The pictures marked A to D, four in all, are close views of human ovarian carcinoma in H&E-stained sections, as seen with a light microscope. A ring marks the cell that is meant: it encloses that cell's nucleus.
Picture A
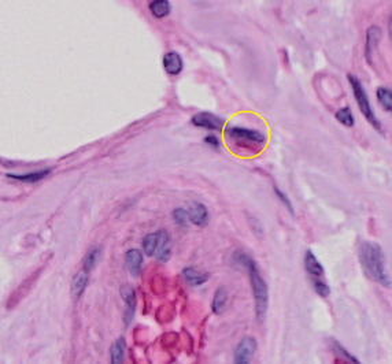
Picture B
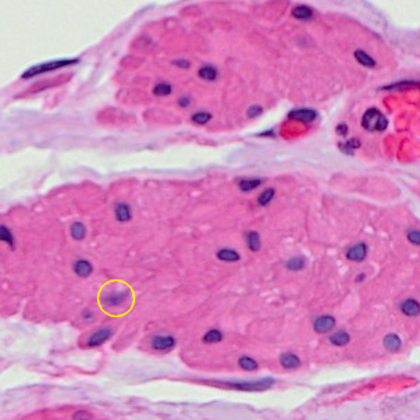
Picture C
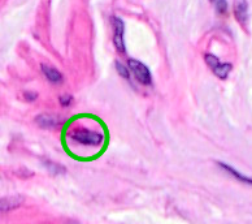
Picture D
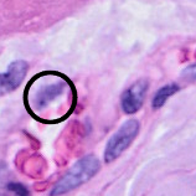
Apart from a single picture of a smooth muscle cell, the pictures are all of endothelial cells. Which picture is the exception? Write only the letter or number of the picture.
B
